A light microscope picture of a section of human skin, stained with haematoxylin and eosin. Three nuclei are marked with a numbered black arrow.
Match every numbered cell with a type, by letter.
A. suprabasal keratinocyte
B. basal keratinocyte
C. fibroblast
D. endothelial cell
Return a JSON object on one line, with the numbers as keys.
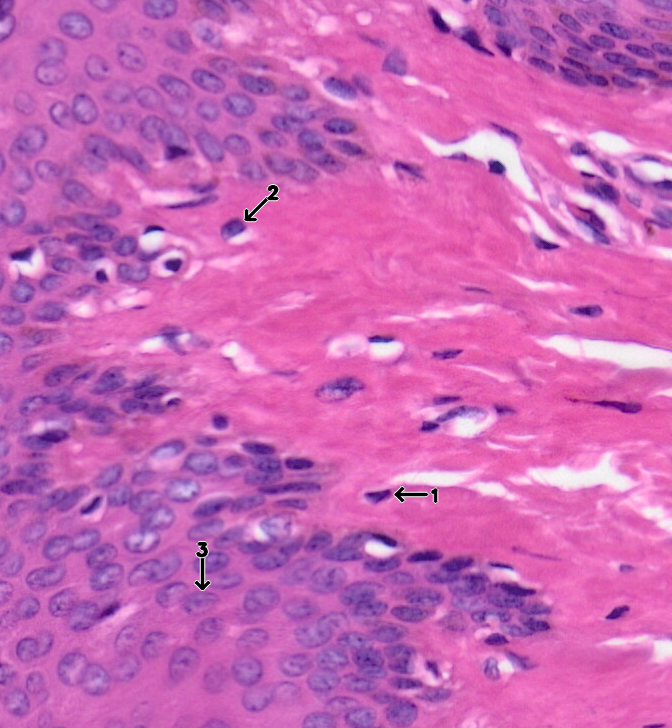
{"1": "C", "2": "C", "3": "A"}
